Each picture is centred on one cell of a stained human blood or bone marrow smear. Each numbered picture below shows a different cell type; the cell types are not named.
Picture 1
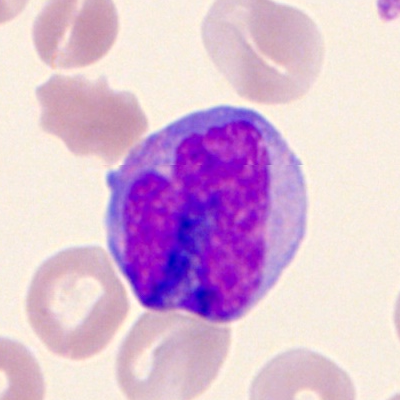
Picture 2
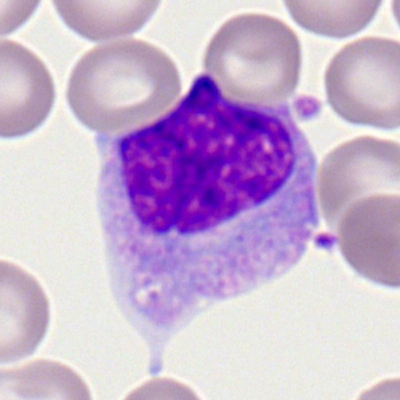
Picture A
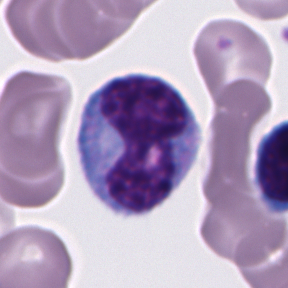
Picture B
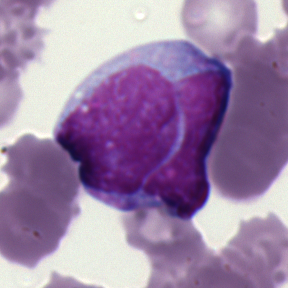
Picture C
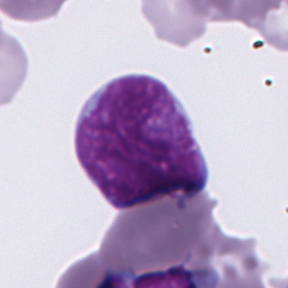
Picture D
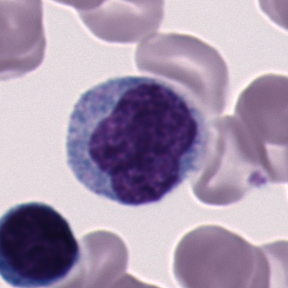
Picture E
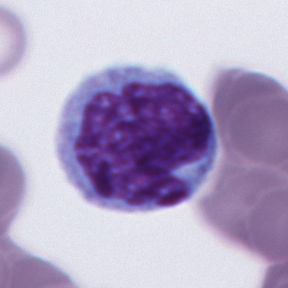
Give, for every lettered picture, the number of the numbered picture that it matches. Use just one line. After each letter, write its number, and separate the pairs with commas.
A 2, B 1, C 1, D 2, E 2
